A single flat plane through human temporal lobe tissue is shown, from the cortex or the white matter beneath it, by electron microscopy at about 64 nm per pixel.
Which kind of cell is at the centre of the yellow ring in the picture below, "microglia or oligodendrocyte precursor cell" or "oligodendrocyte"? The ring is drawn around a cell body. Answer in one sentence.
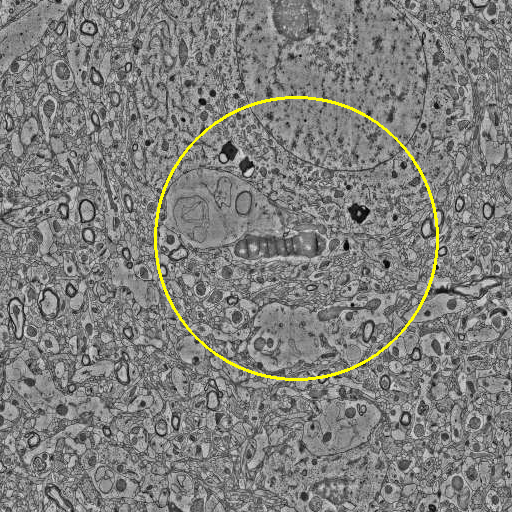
The ring's central cell is a microglial cell or oligodendrocyte precursor cell.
